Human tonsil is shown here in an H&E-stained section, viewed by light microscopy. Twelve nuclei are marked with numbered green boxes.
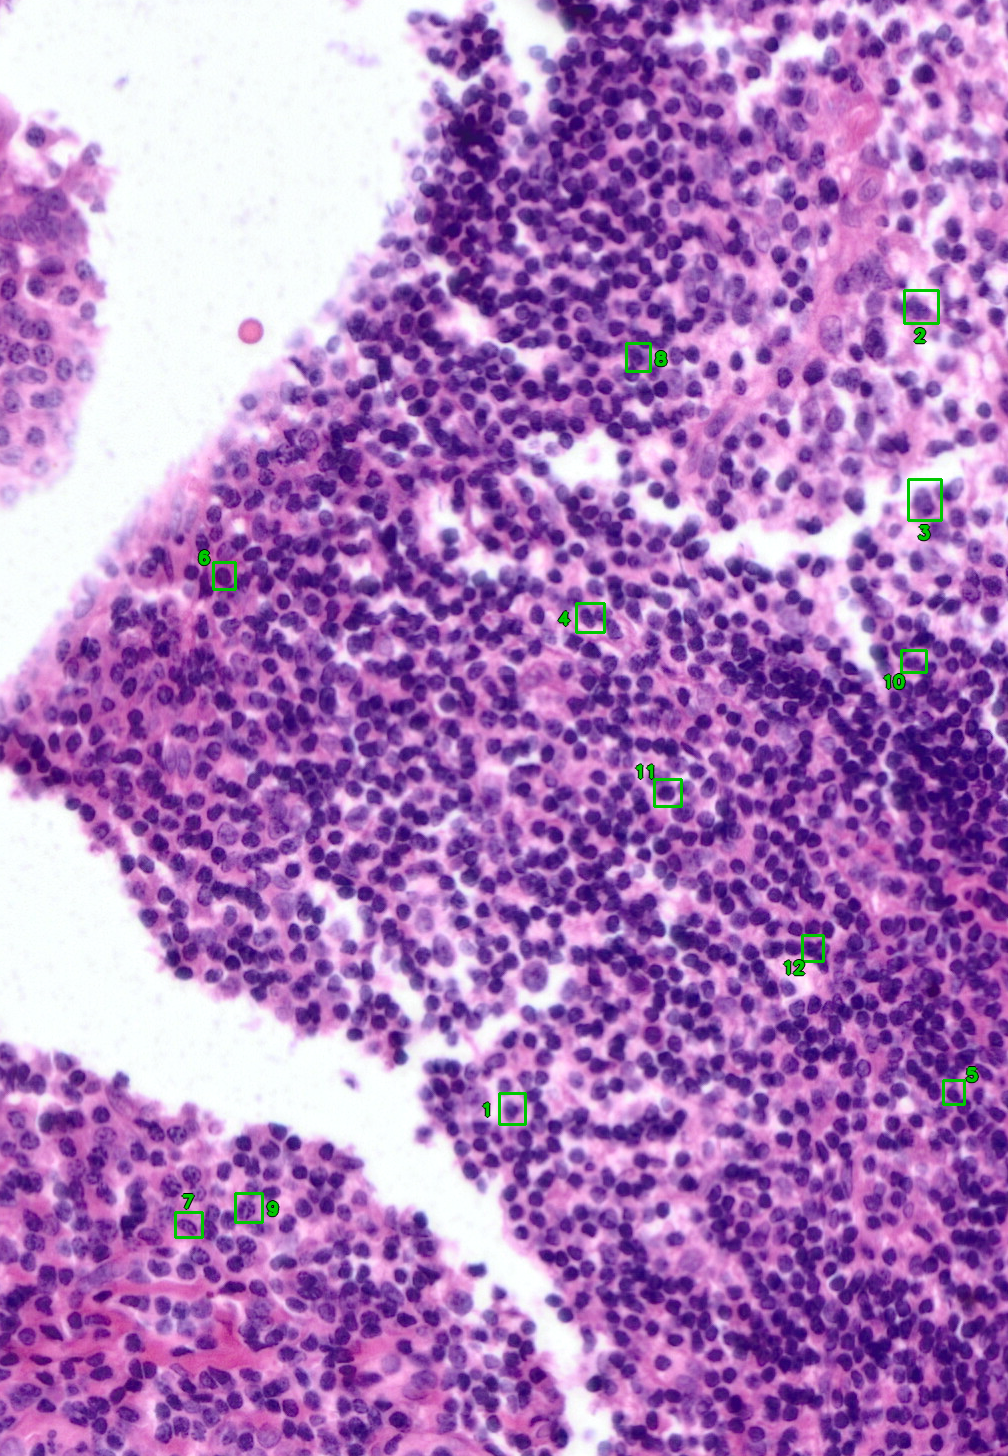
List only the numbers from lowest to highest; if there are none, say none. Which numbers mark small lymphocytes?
1, 4, 5, 8, 10, 11, 12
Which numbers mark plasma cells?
6, 7, 9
